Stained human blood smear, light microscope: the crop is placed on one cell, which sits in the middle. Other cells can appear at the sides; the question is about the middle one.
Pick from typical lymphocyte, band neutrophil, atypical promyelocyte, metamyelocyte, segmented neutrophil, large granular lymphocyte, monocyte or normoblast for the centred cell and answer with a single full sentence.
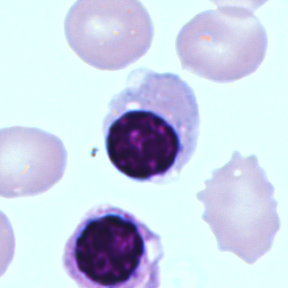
On this slide crop, the central cell is a normoblast.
